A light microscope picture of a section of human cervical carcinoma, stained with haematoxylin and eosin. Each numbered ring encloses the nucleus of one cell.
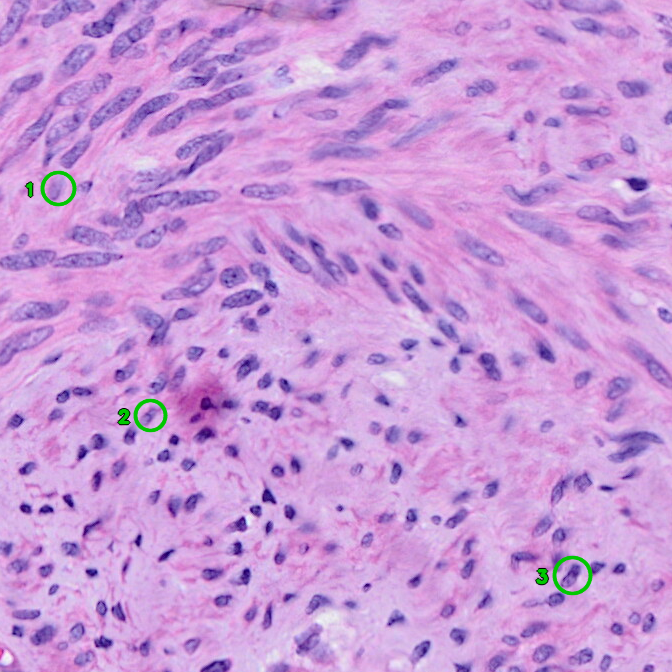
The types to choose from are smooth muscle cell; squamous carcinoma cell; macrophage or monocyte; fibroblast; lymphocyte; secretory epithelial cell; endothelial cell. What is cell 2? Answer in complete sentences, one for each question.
The cell to which the number 2 is assigned is a smooth muscle cell.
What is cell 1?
Denoted by the label 1 in the section is a smooth muscle cell.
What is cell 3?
The cell carrying label 3 is identified as a fibroblast.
